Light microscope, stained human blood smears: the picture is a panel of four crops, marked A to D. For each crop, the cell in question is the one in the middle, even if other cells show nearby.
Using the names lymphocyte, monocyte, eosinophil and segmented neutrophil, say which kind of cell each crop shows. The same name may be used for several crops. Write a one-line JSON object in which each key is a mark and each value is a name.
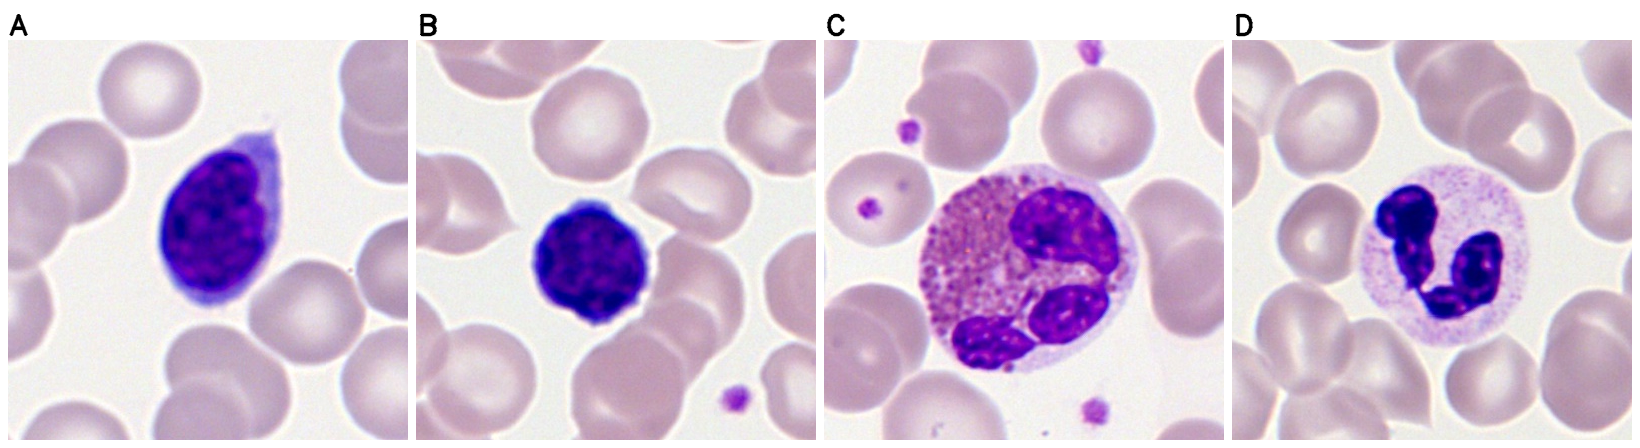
{"A": "lymphocyte", "B": "lymphocyte", "C": "eosinophil", "D": "segmented neutrophil"}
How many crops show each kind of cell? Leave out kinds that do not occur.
lymphocyte: 2
eosinophil: 1
segmented neutrophil: 1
